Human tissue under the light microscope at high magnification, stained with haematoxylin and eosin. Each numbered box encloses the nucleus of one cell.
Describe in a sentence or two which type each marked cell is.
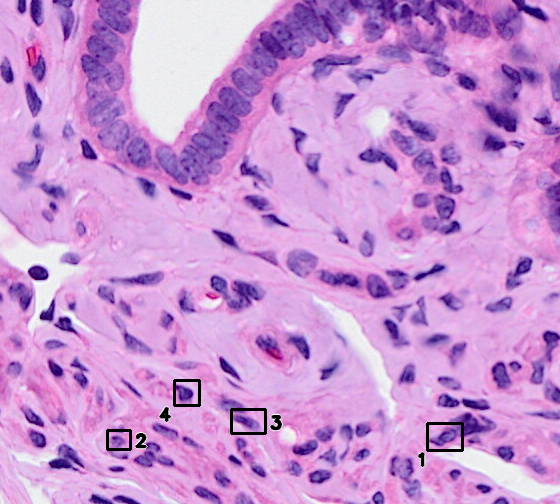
Cell 1 is an endothelial cell, cell 2 is a smooth muscle cell, cell 3 is a smooth muscle cell and cell 4 is a smooth muscle cell.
